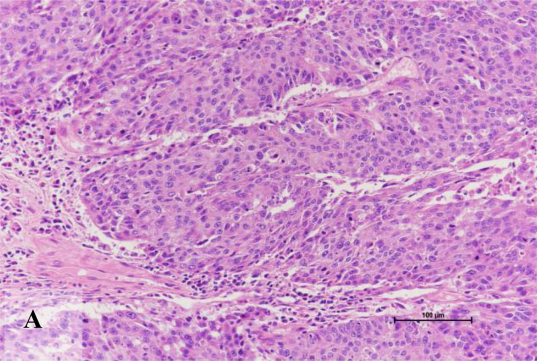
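This is a high-grade carcinoma made of broad solid sheets and nests of tumour cells. The cells have pink cytoplasm and oval to round nuclei that are crowded and vary in size. Glands are scarcely formed; the tumour grows mainly as solid masses. Thin strands of stroma with spindle-shaped nuclei run between the nests, and some denser pink fibrous stroma lies at the lower left.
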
